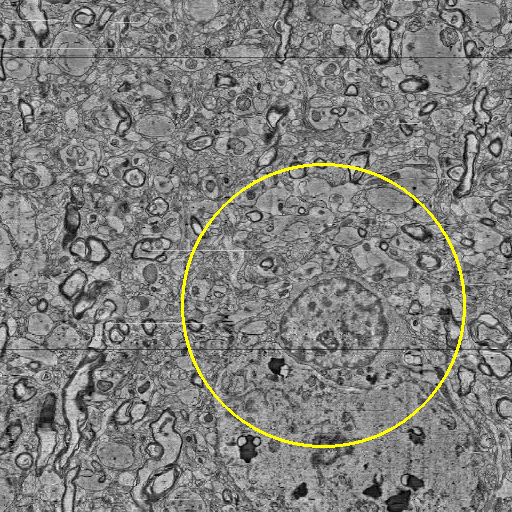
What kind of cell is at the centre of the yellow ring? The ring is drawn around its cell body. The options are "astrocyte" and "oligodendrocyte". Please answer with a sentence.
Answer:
The yellow ring marks the cell body of an oligodendrocyte.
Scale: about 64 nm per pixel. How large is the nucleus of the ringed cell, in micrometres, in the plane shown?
In this plane, roughly 6 micrometres across.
